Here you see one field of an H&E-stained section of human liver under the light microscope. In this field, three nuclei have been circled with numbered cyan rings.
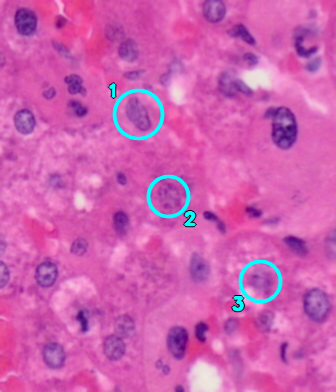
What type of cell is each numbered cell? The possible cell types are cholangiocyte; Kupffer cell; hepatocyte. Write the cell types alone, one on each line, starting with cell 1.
Kupffer cell
hepatocyte
hepatocyte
